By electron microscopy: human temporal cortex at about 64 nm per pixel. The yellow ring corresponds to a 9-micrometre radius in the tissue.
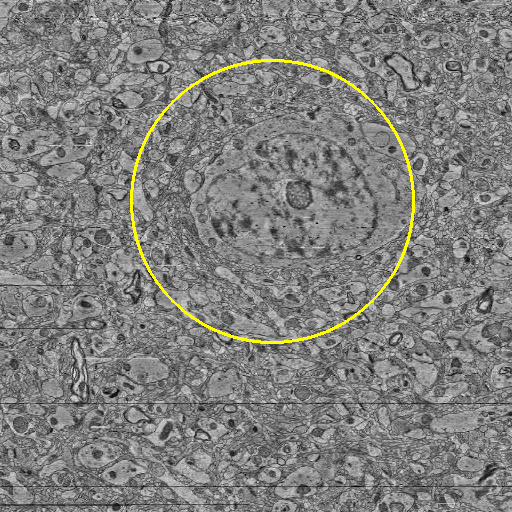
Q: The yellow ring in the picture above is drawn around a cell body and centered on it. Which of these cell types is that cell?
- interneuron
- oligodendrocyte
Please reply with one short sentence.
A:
The cell body at the ring's center belongs to an interneuron.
